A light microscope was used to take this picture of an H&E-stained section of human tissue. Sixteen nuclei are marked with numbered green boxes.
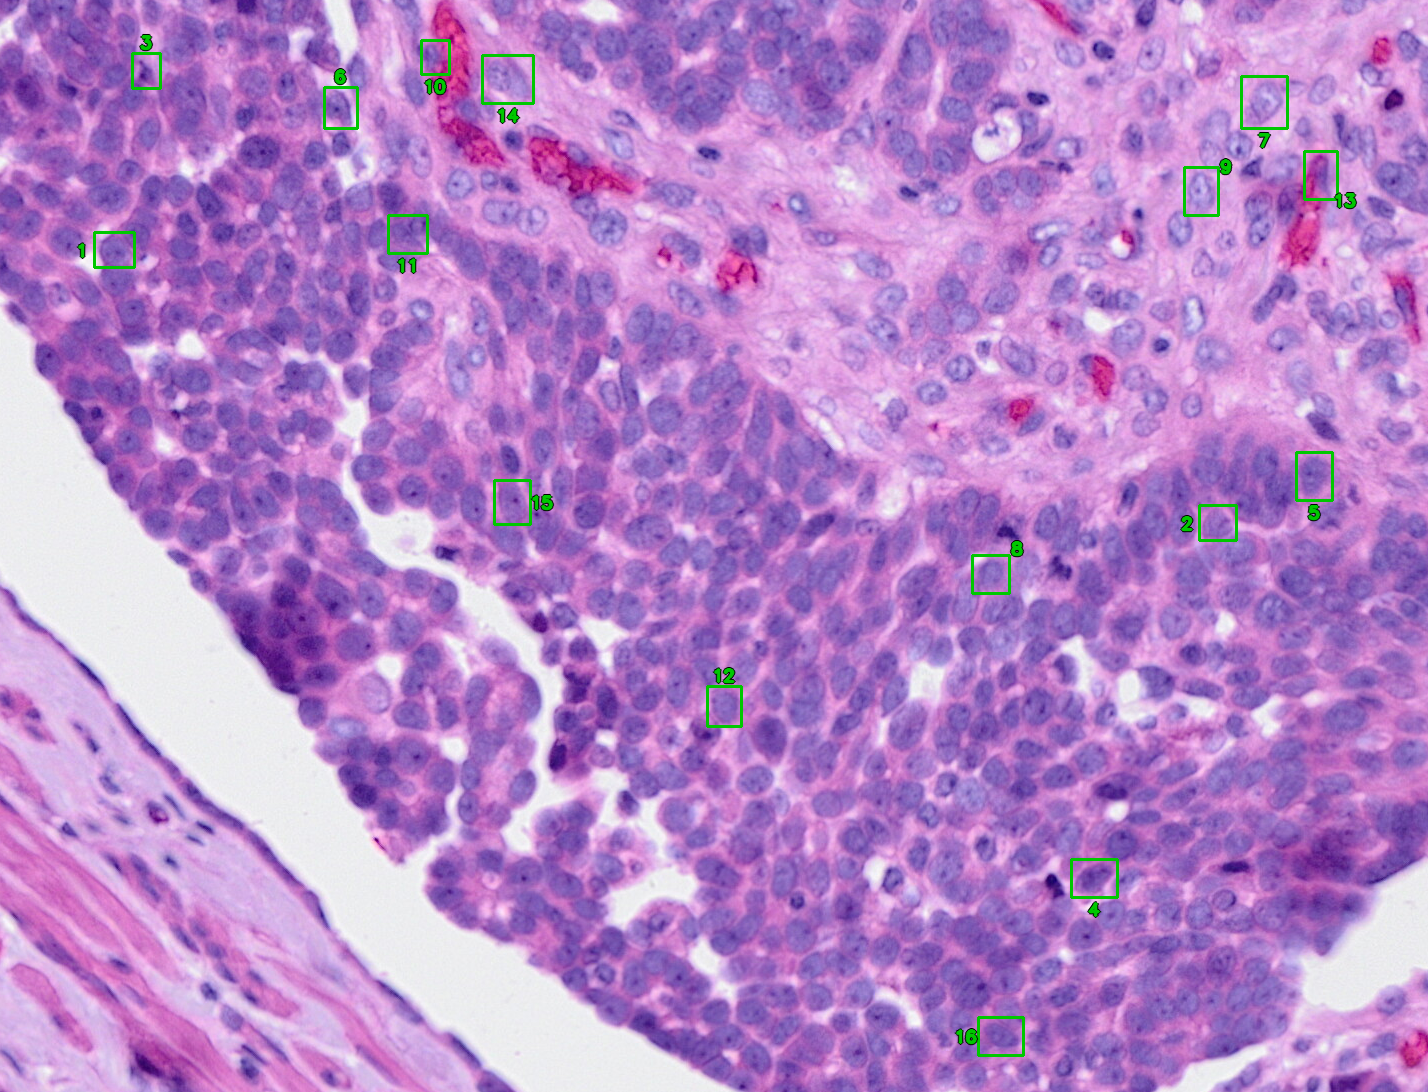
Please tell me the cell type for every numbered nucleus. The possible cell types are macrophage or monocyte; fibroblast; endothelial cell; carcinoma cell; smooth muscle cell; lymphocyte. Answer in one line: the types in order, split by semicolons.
carcinoma cell; carcinoma cell; macrophage or monocyte; carcinoma cell; carcinoma cell; macrophage or monocyte; fibroblast; carcinoma cell; fibroblast; endothelial cell; carcinoma cell; carcinoma cell; endothelial cell; fibroblast; carcinoma cell; carcinoma cell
